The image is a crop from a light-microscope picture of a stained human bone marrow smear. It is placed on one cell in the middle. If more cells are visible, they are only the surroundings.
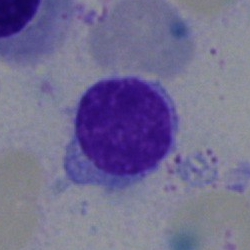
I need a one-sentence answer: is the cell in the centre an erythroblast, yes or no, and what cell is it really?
No, the middle cell is classified as a lymphocyte instead of an erythroblast.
